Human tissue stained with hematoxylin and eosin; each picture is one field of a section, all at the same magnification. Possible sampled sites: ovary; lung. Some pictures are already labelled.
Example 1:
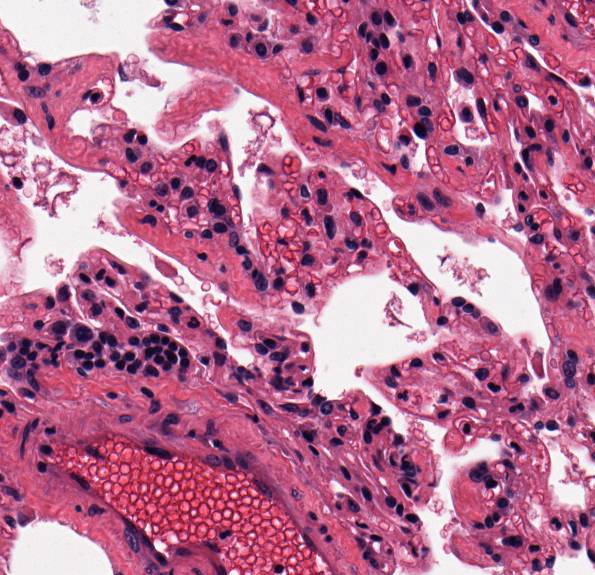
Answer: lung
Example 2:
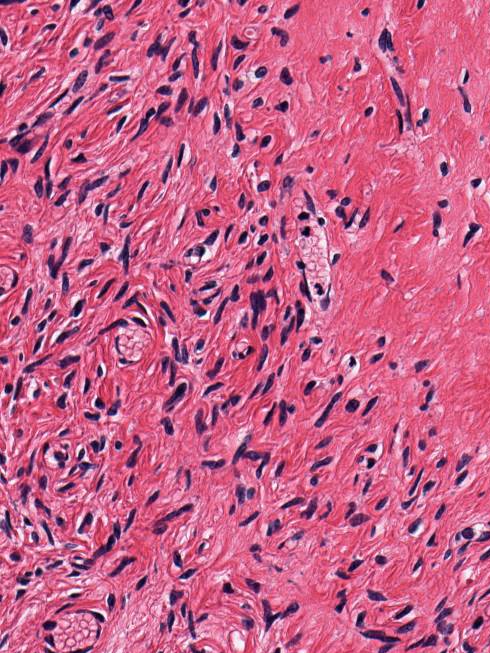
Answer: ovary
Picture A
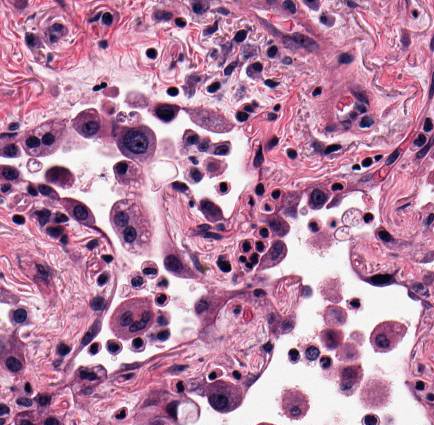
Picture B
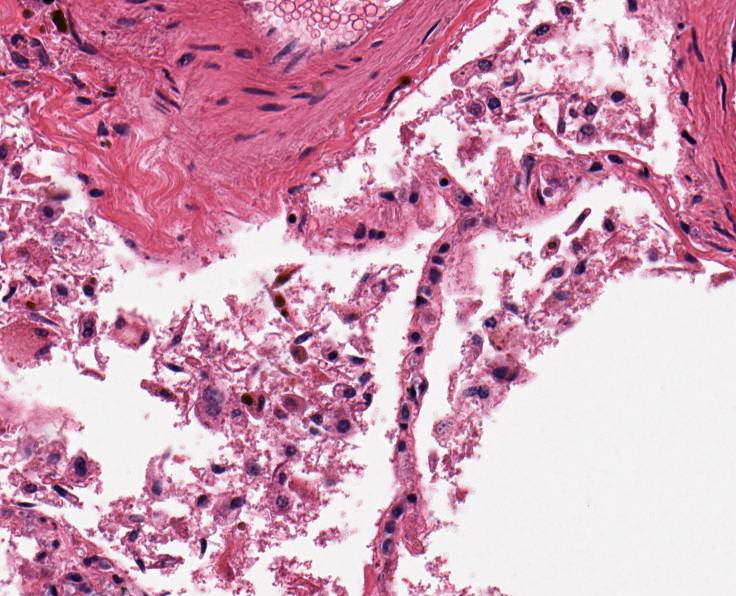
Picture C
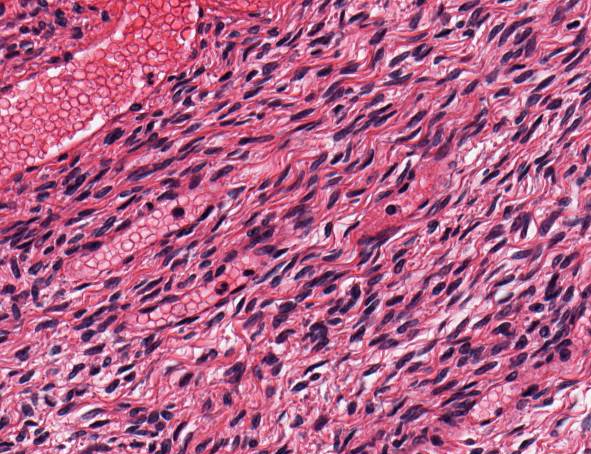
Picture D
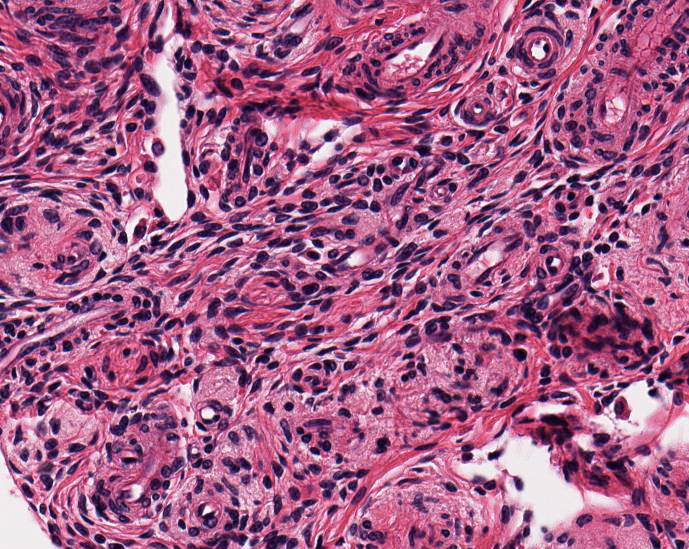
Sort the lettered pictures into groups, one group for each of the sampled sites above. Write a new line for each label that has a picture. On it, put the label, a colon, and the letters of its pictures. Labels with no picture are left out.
ovary: C, D
lung: A, B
